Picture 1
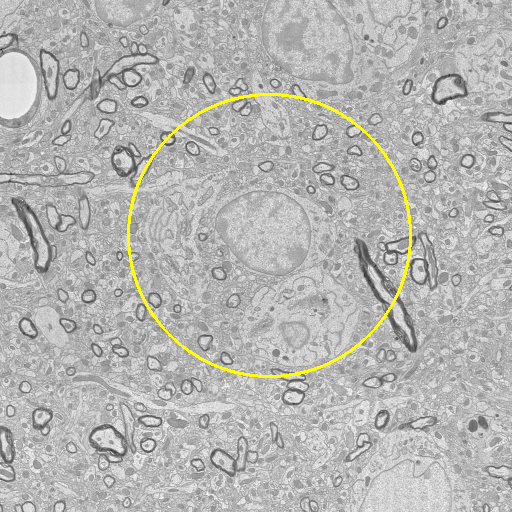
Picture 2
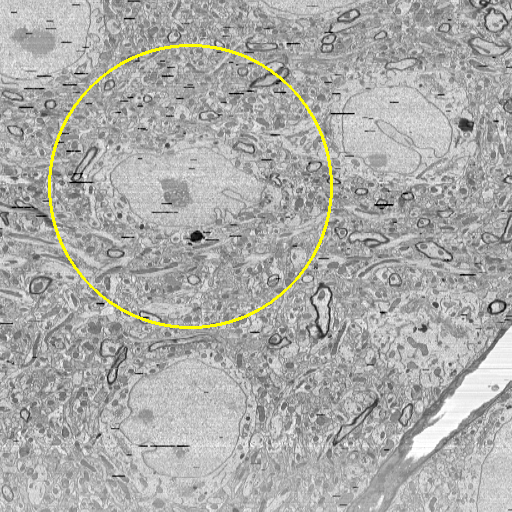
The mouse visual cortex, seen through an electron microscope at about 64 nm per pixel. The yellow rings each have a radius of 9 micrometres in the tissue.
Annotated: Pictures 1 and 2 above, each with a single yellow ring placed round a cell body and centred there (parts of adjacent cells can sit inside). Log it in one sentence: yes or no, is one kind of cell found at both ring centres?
No, the ring centres of the two pictures hold cells of two kinds.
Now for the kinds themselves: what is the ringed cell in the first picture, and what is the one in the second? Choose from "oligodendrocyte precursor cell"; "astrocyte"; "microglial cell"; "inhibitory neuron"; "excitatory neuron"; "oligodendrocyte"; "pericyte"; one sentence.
Here the first cell is an oligodendrocyte and the second cell is an inhibitory neuron.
